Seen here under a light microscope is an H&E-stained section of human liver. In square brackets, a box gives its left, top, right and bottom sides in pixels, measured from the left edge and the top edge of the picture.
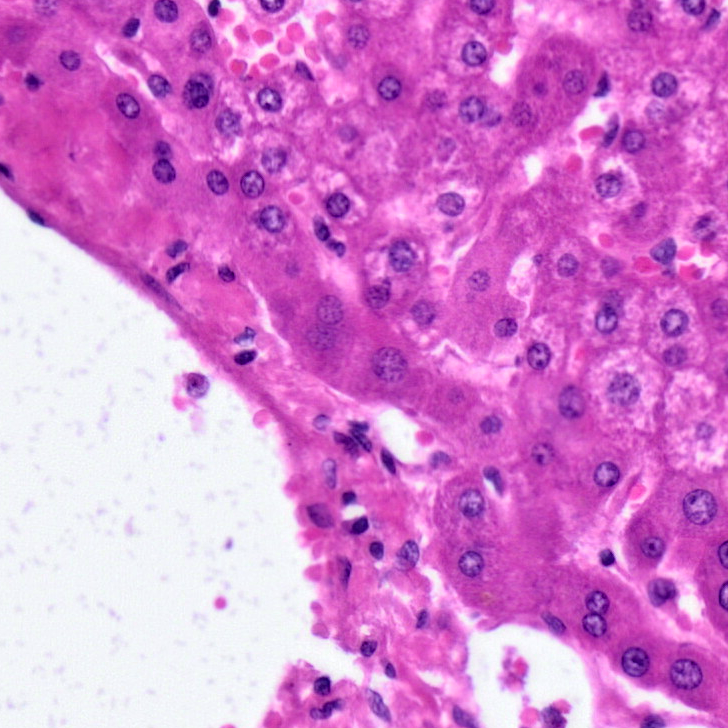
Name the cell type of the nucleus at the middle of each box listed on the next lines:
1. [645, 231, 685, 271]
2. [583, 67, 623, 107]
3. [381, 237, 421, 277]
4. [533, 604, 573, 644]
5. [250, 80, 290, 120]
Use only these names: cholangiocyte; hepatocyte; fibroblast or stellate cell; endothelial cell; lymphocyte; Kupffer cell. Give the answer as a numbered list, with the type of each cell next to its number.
1. endothelial cell
2. endothelial cell
3. hepatocyte
4. fibroblast or stellate cell
5. hepatocyte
